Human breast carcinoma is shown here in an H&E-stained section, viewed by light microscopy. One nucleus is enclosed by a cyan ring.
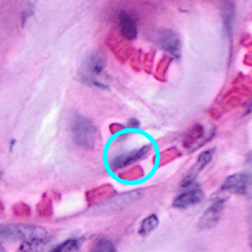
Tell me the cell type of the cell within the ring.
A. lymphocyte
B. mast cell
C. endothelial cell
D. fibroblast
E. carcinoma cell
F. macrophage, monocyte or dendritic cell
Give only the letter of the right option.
C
